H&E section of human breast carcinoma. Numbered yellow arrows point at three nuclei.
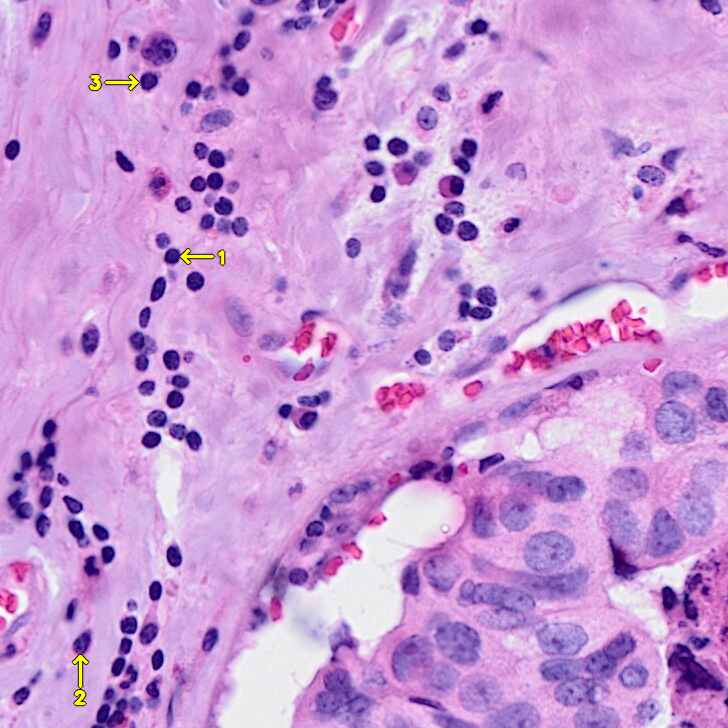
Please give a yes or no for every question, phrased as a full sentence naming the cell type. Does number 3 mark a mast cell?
No, cell 3 is to be read as a lymphocyte, not a mast cell.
